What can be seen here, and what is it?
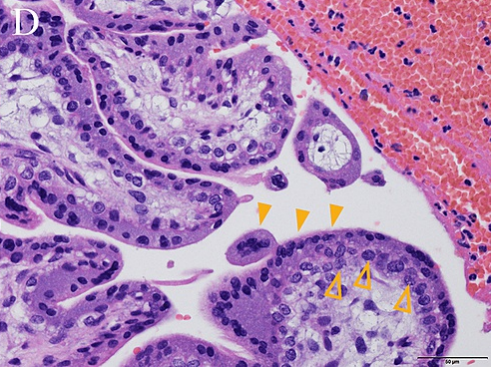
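This section shows chorionic villi lying beside a hemorrhage, with a mass of red blood cells at the upper right. Each villus has a loose, pale, somewhat vacuolated core and is covered by two layers of trophoblast. The inner layer consists of cytotrophoblasts, individual cells with round nuclei and pale cytoplasm, while the outer layer is a continuous darker purple syncytiotrophoblast with crowded dark nuclei and no visible cell borders. Small detached fragments of trophoblast float in the space between the villi.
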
